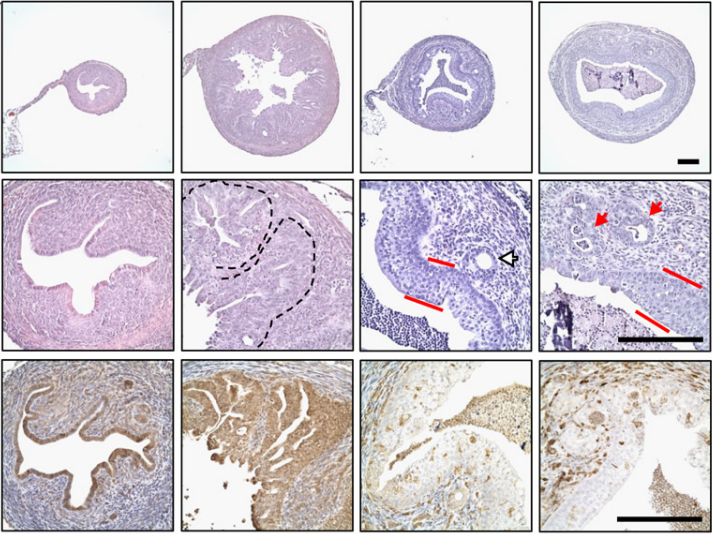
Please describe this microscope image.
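These are cross-sections of uterus, with an epithelium lining a central lumen, surrounded by endometrial stroma and an outer muscular wall. In some sections the uterus is much enlarged, with crowded, folded epithelium and many glands, while in others small glands, some with irregular linings, lie in the stroma. In the bottom row a brown stain marks the luminal and glandular epithelium strongly in some sections and only weakly or patchily in others.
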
